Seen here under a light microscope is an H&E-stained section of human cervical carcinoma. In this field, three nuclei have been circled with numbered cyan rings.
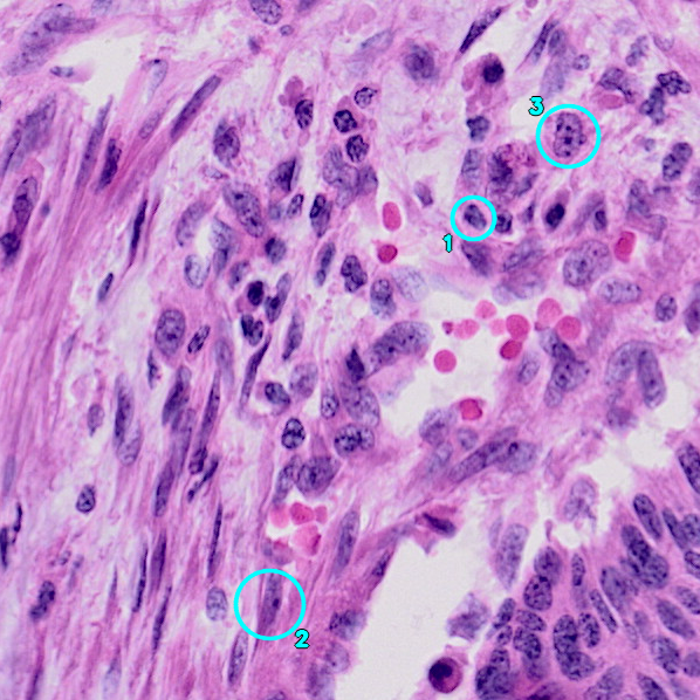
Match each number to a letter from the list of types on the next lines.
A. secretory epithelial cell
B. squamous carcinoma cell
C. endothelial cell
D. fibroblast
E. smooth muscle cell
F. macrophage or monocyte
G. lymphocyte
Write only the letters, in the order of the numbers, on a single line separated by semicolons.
G; D; F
